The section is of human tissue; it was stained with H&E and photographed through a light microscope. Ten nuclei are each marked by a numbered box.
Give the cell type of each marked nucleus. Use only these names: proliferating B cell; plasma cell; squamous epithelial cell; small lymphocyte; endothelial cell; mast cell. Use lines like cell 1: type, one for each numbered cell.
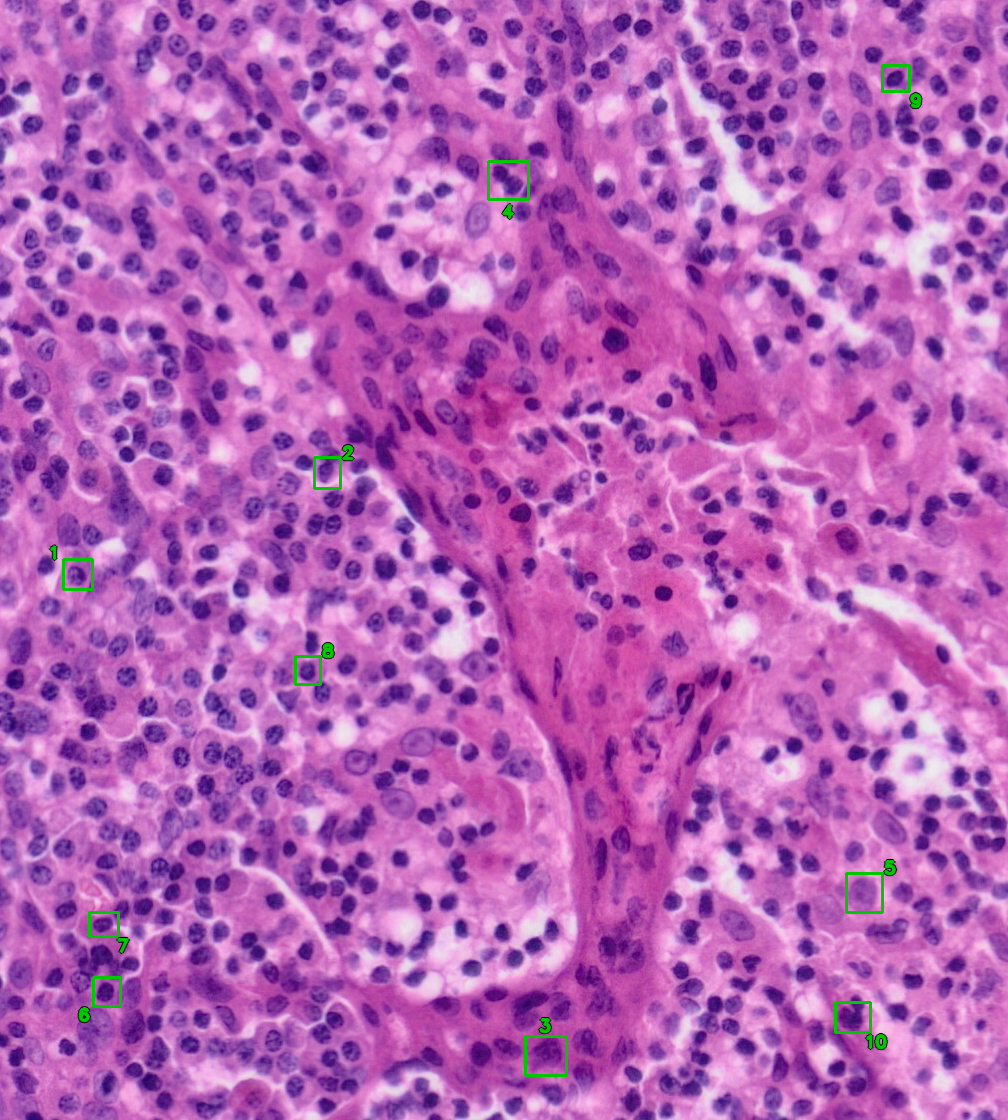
cell 1: plasma cell
cell 2: plasma cell
cell 3: squamous epithelial cell
cell 4: squamous epithelial cell
cell 5: squamous epithelial cell
cell 6: plasma cell
cell 7: plasma cell
cell 8: plasma cell
cell 9: plasma cell
cell 10: squamous epithelial cell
